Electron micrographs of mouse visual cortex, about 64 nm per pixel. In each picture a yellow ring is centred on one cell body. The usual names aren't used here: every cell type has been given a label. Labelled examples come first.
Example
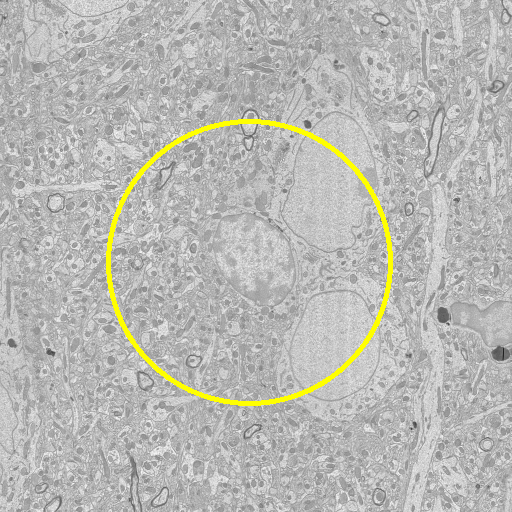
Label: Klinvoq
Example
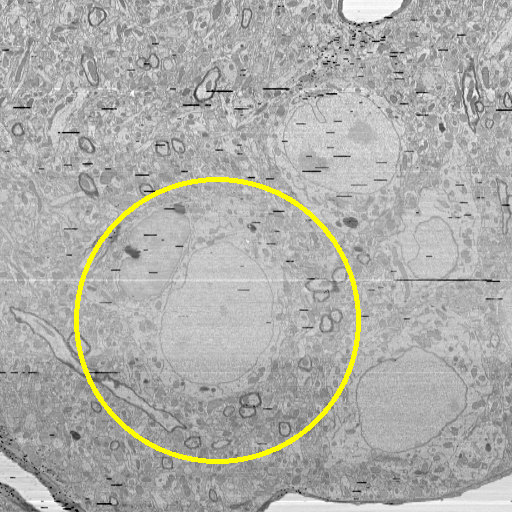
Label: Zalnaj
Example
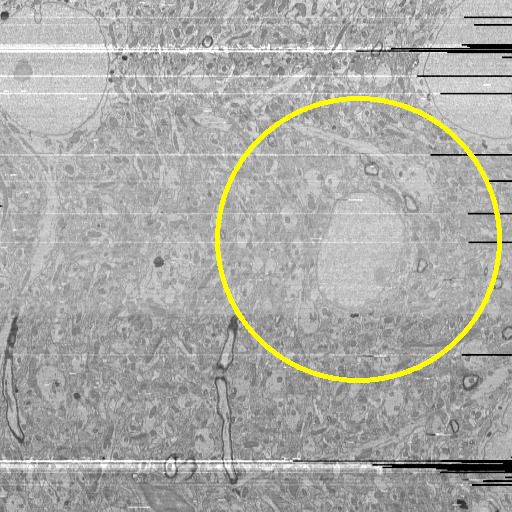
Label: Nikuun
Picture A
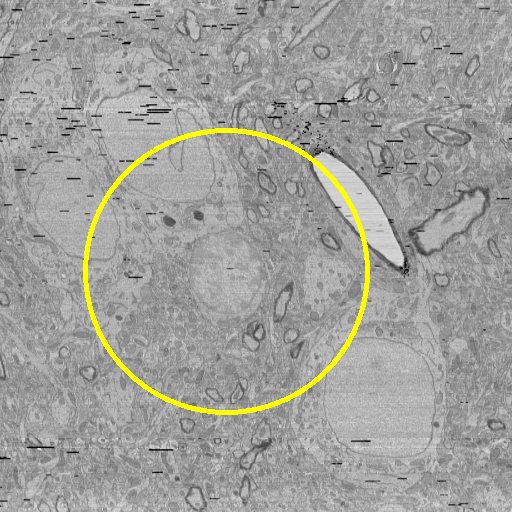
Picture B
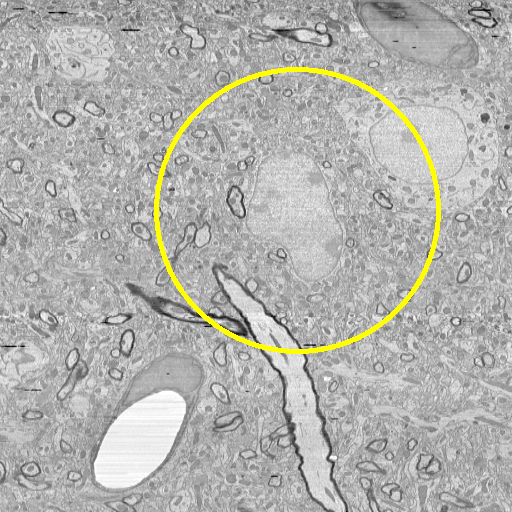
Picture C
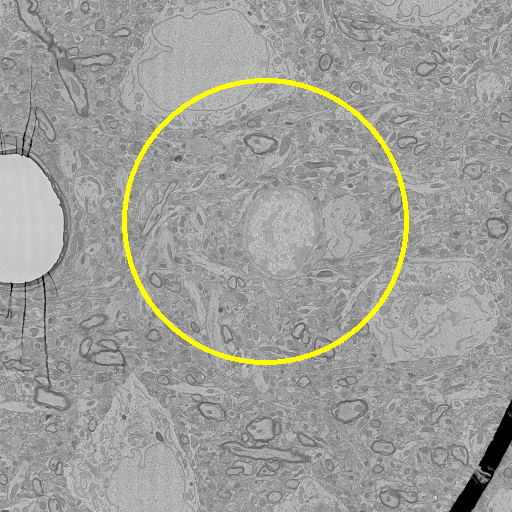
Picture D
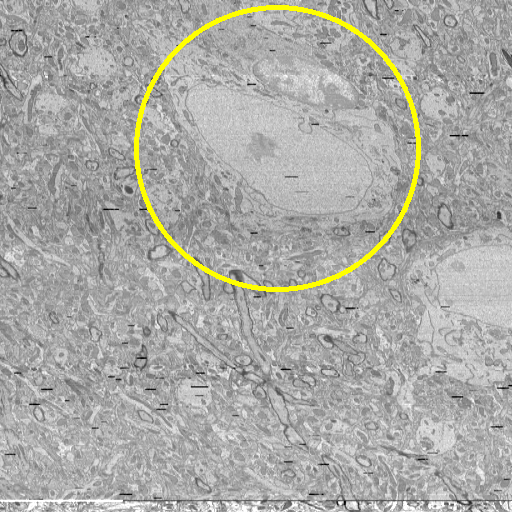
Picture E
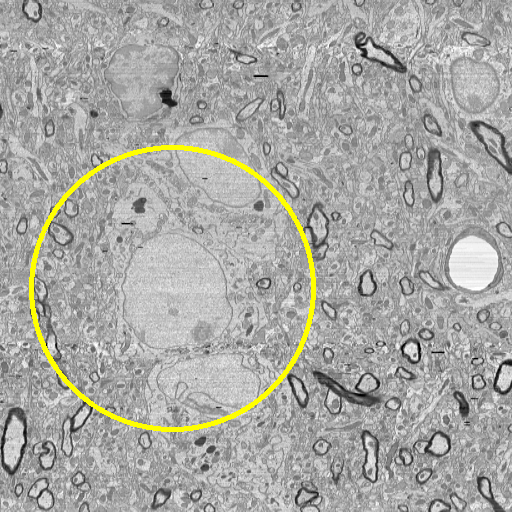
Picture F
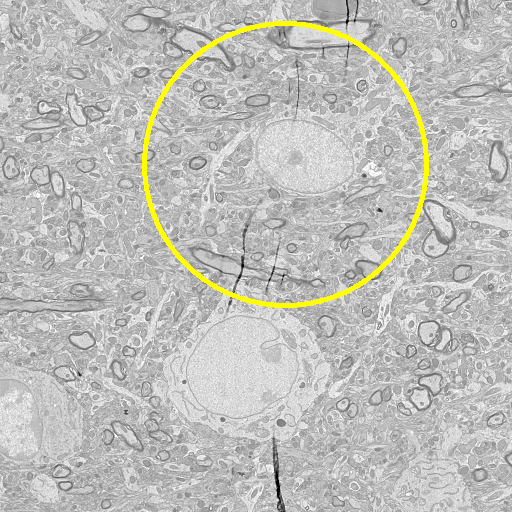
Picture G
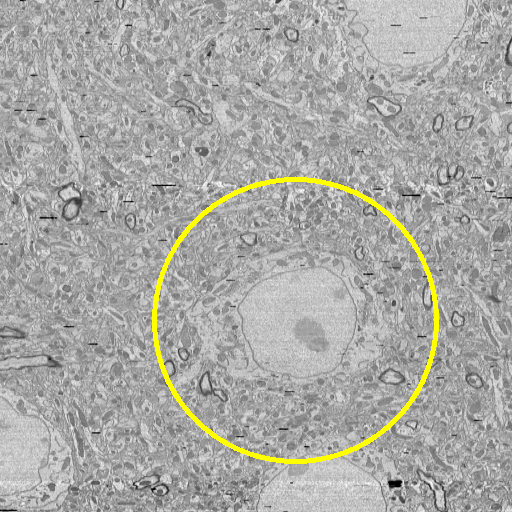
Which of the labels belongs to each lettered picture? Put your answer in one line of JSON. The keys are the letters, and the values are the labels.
{"A": "Klinvoq", "B": "Nikuun", "C": "Klinvoq", "D": "Zalnaj", "E": "Zalnaj", "F": "Nikuun", "G": "Zalnaj"}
